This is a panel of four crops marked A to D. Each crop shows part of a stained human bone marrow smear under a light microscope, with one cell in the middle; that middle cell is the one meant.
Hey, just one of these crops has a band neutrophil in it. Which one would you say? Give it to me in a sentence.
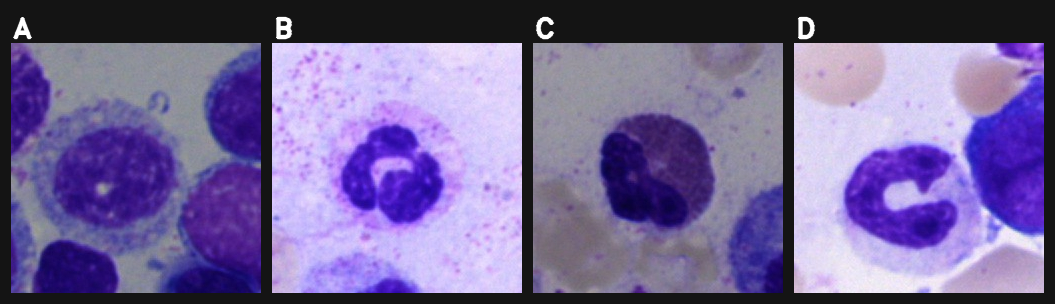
Of the cells presented, the one in crop D is a band neutrophil.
